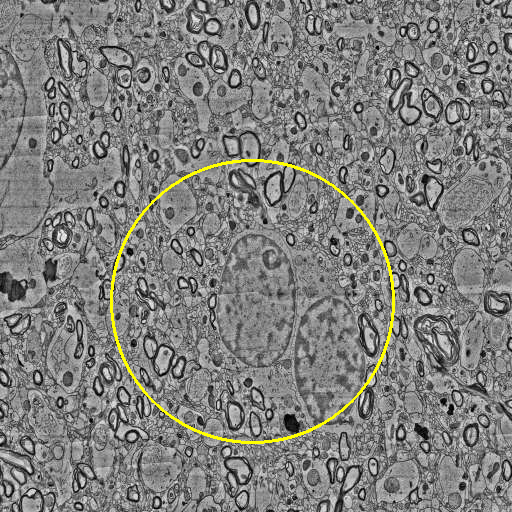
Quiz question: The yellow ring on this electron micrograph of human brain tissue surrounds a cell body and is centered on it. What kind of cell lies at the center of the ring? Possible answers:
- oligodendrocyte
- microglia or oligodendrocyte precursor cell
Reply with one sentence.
The ring's center lies on an oligodendrocyte.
